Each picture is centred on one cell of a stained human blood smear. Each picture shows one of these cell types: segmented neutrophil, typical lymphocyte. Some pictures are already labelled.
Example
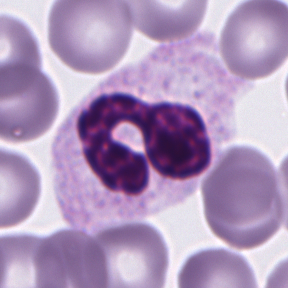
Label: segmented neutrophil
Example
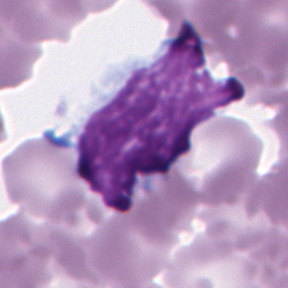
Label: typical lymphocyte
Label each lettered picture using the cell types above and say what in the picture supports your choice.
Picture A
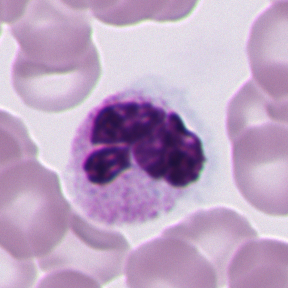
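segmented neutrophil: The cytoplasm is plentiful and pale pinkish-lilac.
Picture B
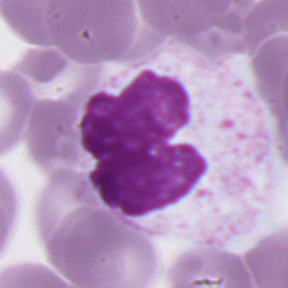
segmented neutrophil: The cytoplasm is abundant and very pale, nearly colourless.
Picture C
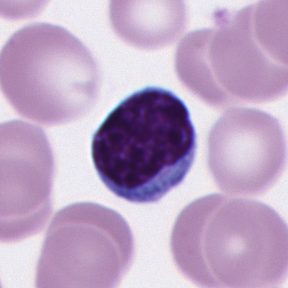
typical lymphocyte: The cytoplasm forms a narrow pale blue crescent along the lower right edge of the cell.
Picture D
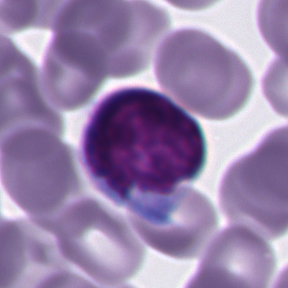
typical lymphocyte: The cytoplasm is scant.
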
